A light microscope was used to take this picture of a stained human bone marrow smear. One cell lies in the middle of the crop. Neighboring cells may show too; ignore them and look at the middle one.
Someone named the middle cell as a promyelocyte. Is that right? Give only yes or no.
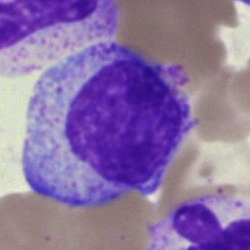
no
